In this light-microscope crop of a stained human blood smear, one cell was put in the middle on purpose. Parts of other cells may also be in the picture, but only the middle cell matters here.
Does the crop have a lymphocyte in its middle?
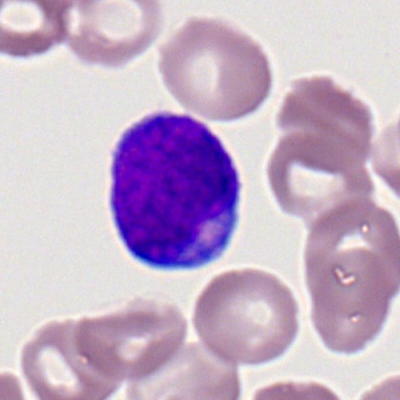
yes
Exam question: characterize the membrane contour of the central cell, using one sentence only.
Nothing juts out from the margin, which is smooth throughout.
